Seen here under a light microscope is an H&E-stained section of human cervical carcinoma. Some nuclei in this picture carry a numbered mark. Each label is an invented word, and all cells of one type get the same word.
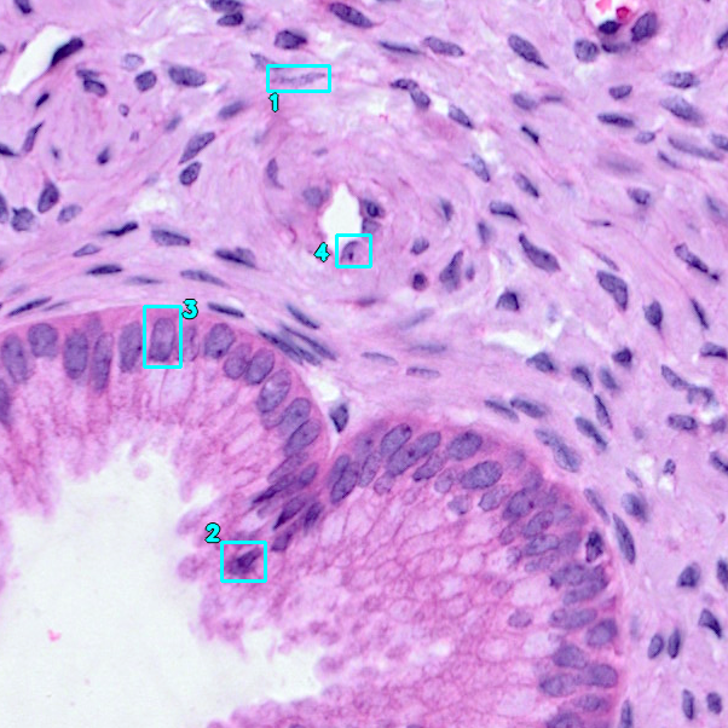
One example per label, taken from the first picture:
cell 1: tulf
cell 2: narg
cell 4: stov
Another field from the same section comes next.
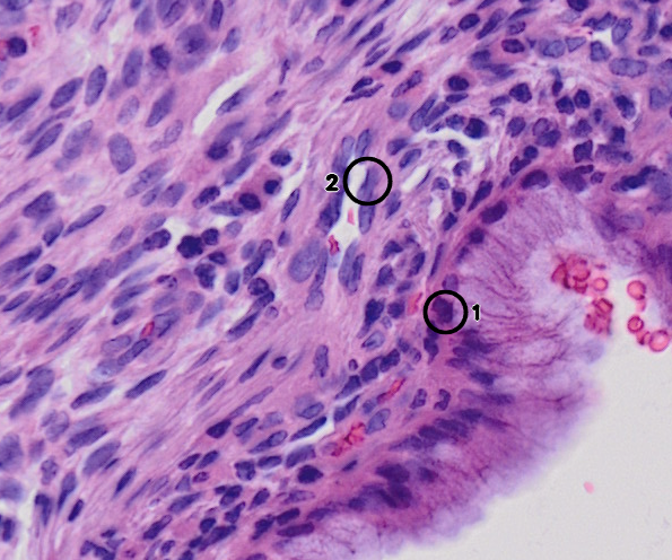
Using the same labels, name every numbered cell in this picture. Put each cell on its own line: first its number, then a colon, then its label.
1: narg
2: stov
